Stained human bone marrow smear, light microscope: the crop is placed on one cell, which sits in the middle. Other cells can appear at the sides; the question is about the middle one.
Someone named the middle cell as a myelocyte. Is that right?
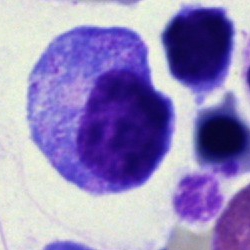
no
